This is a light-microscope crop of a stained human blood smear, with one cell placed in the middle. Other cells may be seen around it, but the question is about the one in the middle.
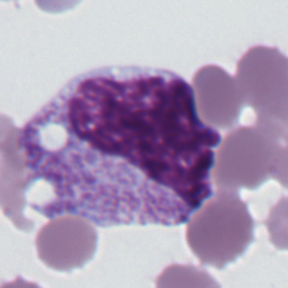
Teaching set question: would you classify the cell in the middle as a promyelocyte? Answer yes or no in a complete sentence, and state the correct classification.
No, the cell at the centre is a myelocyte, which rules out a promyelocyte.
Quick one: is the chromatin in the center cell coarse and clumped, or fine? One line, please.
Chromatin in the nucleus here is coarsely clumped.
